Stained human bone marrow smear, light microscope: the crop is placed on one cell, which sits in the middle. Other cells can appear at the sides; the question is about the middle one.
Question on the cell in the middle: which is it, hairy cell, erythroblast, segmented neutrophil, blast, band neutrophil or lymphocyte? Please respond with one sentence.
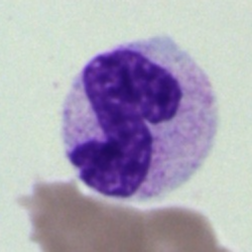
The crop shows a band neutrophil in its centre.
